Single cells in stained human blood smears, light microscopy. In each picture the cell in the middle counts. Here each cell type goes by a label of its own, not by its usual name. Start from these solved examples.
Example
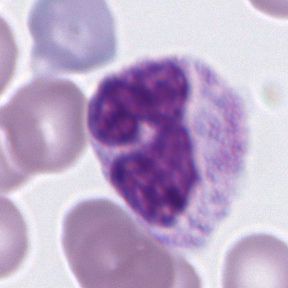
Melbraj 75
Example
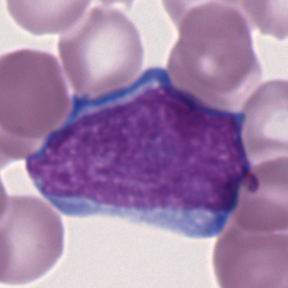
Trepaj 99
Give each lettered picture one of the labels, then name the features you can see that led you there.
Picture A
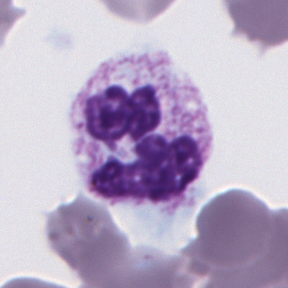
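Melbraj 75: The nucleus is divided into several separate lobes.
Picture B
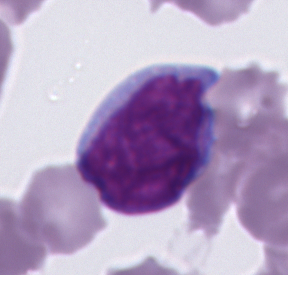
Trepaj 99: The cytoplasm forms only a narrow rim, widest as a crescent along the upper-left edge of the cell.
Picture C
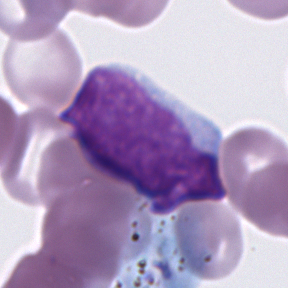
Trepaj 99: The nucleus fills most of the cell.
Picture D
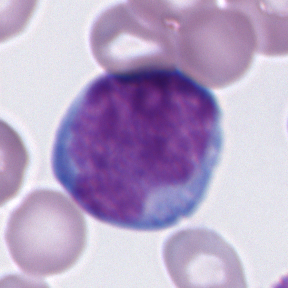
Trepaj 99: The cytoplasm forms a narrow rim that is widest at the lower right.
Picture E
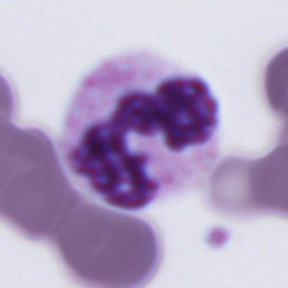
Melbraj 75: The nucleus is divided into lobes joined in a curved, S-like chain.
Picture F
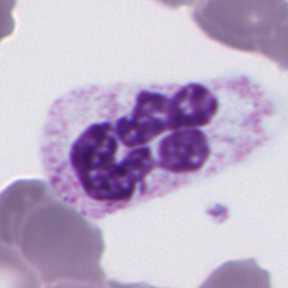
Melbraj 75: The cytoplasm is pale, almost colourless, with a wider margin on the right of the nucleus than on the left.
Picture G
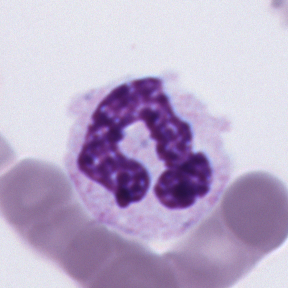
Melbraj 75: The nucleus is a single continuous band bent into an arch with both ends pointing downward.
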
